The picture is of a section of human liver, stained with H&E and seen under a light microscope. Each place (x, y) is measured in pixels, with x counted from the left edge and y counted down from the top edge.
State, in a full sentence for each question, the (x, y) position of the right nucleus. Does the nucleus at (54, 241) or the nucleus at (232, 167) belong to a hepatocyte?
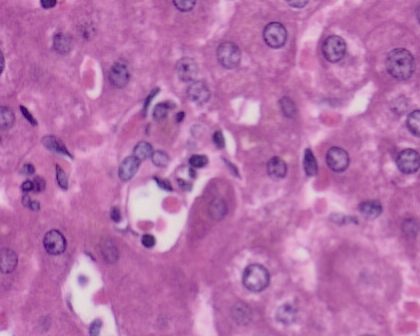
The nucleus at (54, 241), rather than the other, belongs to a hepatocyte.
